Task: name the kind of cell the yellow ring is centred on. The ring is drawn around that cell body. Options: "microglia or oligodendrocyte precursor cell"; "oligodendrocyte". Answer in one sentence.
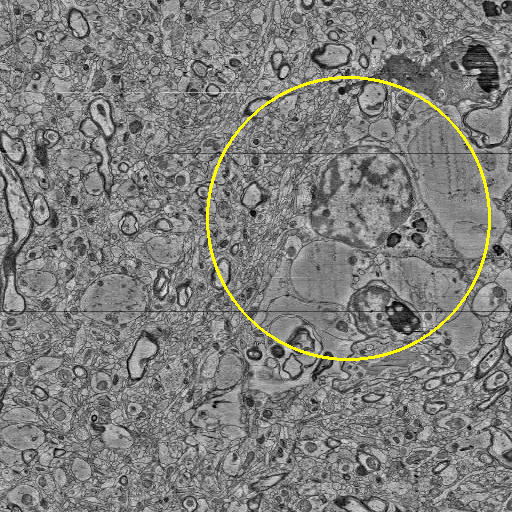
This cell body belongs to a microglial cell or oligodendrocyte precursor cell.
